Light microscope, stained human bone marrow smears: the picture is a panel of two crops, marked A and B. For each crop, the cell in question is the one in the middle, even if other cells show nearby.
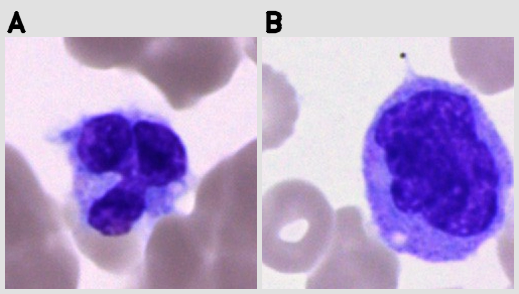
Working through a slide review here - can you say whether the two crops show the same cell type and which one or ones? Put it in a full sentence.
Yes, both crops show monocytes, with no exception.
